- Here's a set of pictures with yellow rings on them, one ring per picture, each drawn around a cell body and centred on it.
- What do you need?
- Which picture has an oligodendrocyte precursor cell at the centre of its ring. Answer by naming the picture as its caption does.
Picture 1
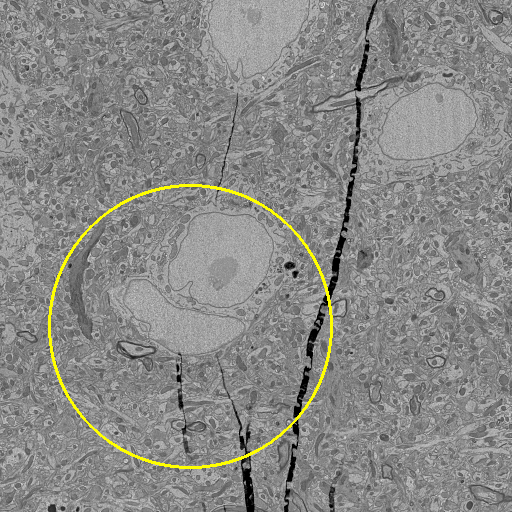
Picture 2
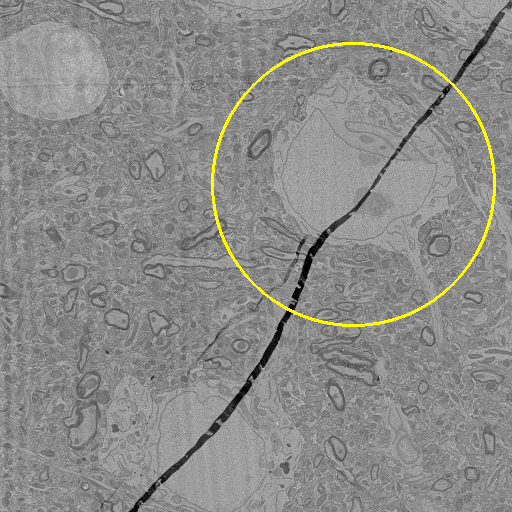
Picture 1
